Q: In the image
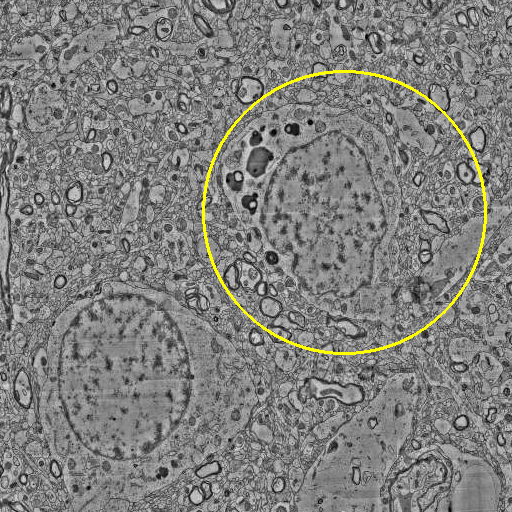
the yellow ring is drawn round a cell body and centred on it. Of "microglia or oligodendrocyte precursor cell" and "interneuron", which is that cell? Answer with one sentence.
The cell centred in the ring is an interneuron.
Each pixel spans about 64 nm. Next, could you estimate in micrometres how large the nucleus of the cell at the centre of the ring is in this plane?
The ringed cell's nucleus measures approximately 11 by 8 micrometres in this plane.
